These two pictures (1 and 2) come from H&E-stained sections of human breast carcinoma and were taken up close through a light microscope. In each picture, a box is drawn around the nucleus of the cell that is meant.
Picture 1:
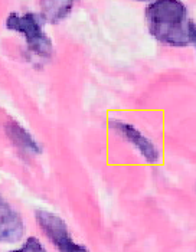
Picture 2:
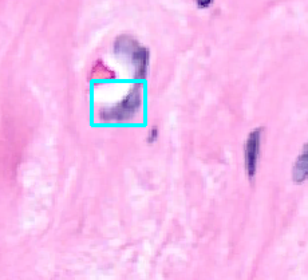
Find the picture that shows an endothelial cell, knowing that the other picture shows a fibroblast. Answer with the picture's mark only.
2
